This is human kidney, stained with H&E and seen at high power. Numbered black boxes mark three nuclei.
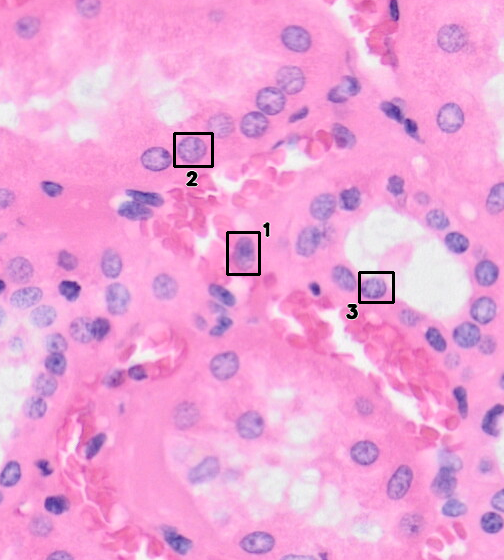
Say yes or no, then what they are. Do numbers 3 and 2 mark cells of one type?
No, cell 3 is categorized as a loop of Henle or distal tubule cell, while cell 2 is categorized as a proximal tubule cell.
